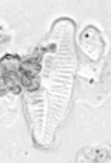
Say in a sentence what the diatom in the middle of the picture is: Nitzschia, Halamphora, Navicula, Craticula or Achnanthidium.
This is Achnanthidium.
